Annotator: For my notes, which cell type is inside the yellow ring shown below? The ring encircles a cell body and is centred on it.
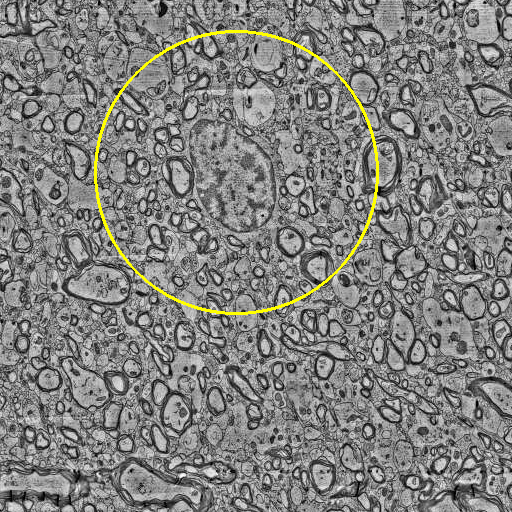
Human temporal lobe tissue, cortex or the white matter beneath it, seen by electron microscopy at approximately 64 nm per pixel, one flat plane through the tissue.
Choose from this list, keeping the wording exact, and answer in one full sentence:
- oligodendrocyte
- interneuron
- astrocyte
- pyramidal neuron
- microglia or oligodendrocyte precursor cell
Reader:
At the centre of the yellow ring there is an oligodendrocyte, as shown in the picture.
